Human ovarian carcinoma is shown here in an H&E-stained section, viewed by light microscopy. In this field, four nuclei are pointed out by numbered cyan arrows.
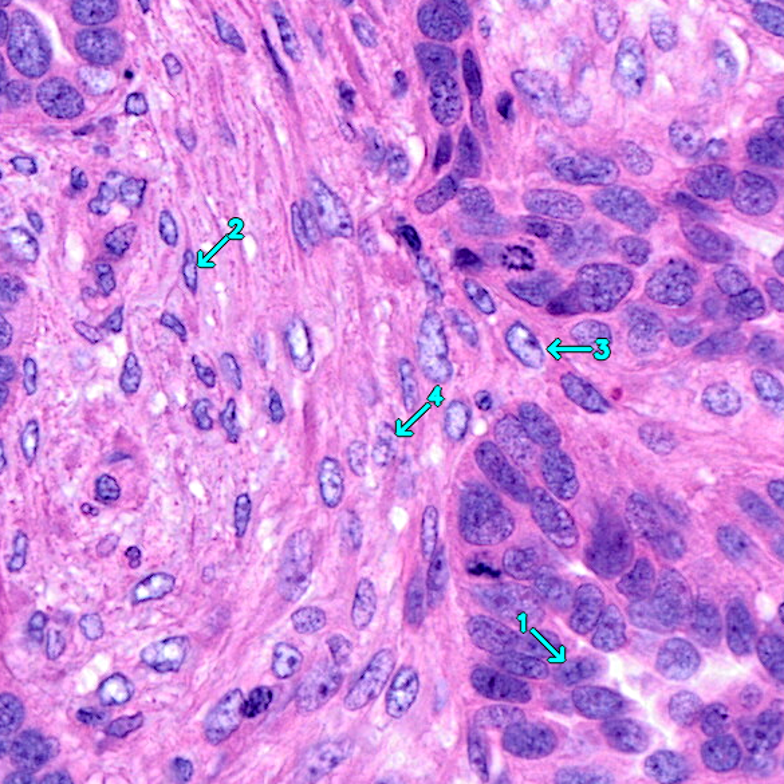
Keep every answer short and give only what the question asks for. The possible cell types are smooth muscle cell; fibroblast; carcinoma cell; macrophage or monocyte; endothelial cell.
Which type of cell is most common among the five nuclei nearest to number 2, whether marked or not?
fibroblast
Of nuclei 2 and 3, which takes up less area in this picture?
2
